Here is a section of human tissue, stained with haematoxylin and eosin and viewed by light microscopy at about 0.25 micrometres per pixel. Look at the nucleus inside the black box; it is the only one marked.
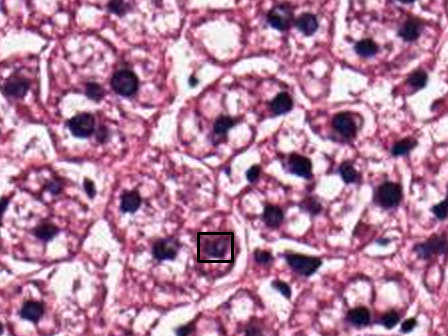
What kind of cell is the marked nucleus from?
adrenal cortical cell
